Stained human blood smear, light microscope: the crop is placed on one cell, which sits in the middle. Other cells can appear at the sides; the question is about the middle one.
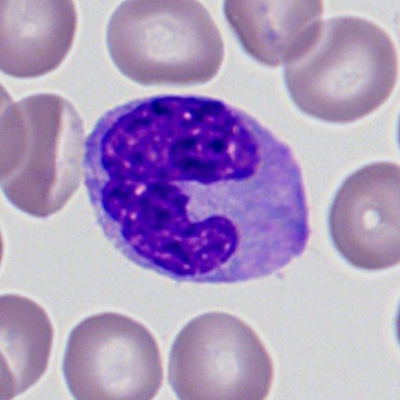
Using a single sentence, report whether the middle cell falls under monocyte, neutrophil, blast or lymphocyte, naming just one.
The centered cell in this crop is a monocyte.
